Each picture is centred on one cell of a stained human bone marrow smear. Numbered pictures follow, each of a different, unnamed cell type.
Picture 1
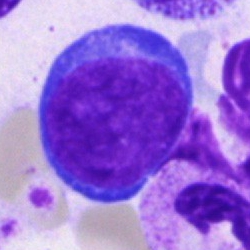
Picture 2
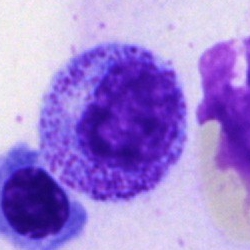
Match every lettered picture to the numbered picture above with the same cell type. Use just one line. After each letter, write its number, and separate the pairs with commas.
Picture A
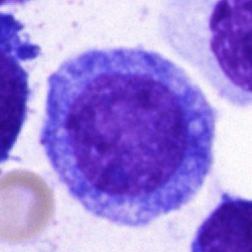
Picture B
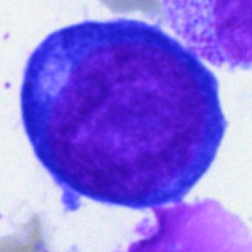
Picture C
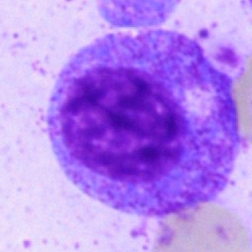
A 2, B 1, C 2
